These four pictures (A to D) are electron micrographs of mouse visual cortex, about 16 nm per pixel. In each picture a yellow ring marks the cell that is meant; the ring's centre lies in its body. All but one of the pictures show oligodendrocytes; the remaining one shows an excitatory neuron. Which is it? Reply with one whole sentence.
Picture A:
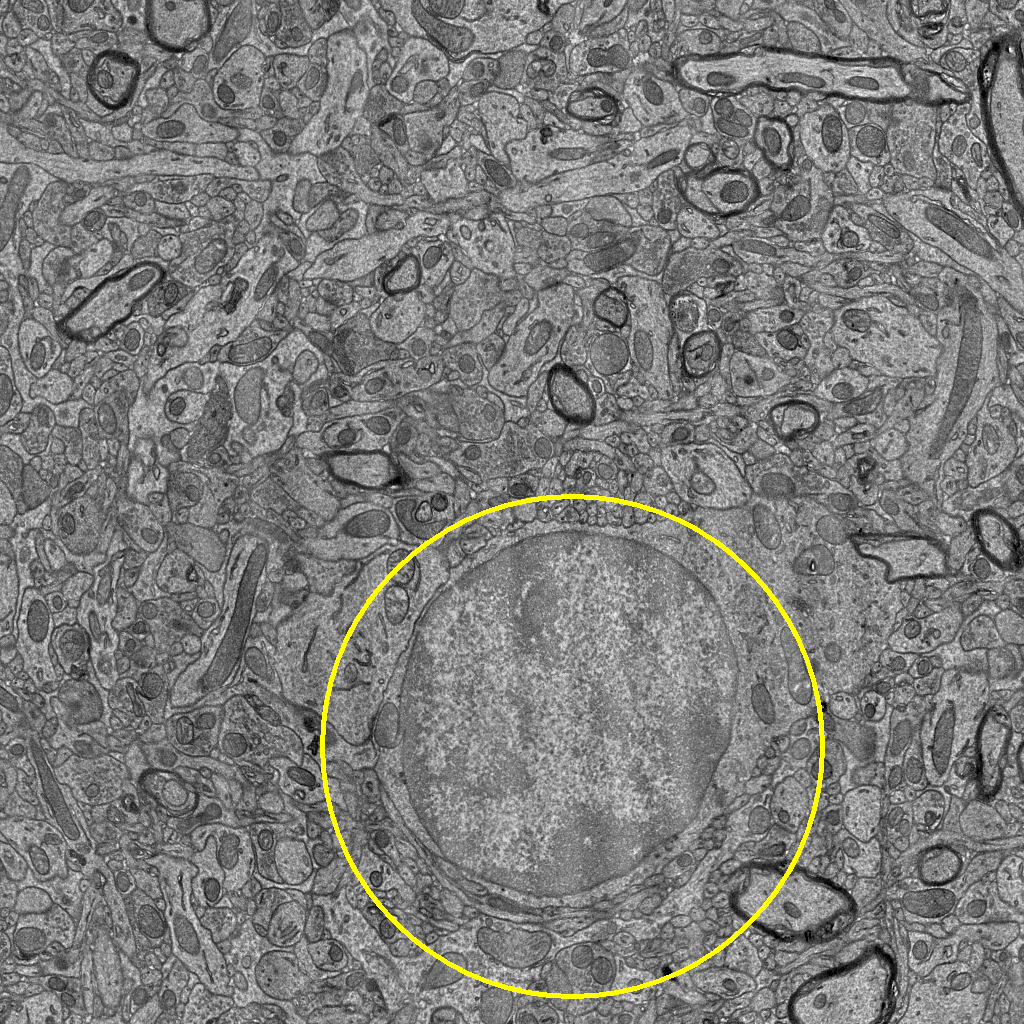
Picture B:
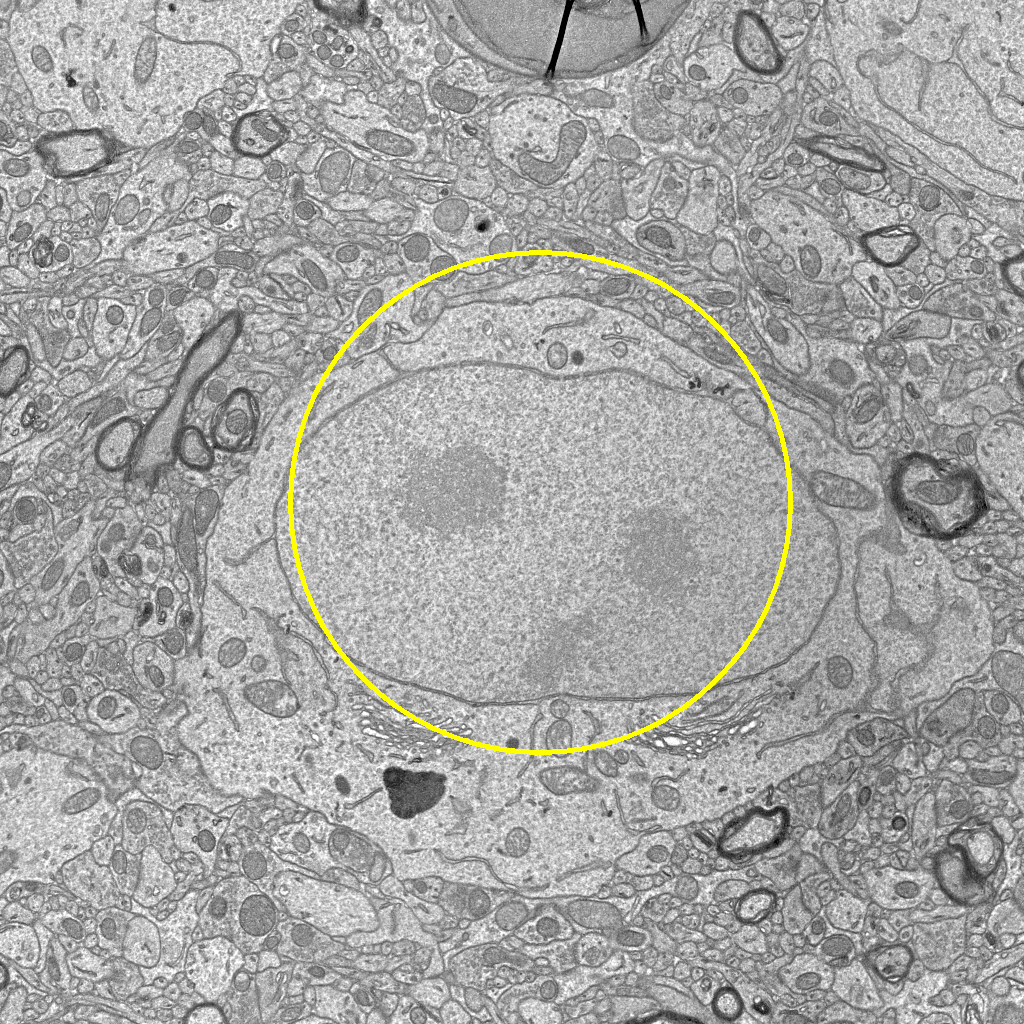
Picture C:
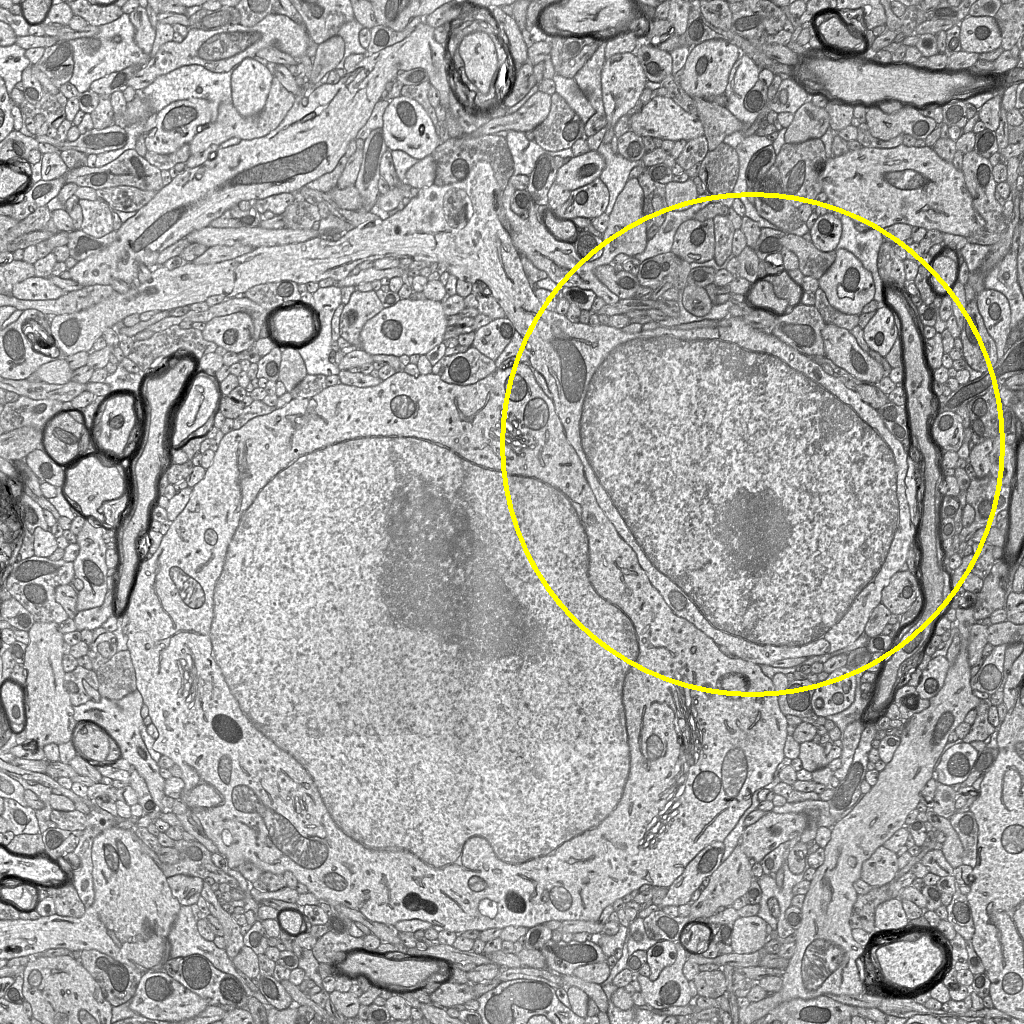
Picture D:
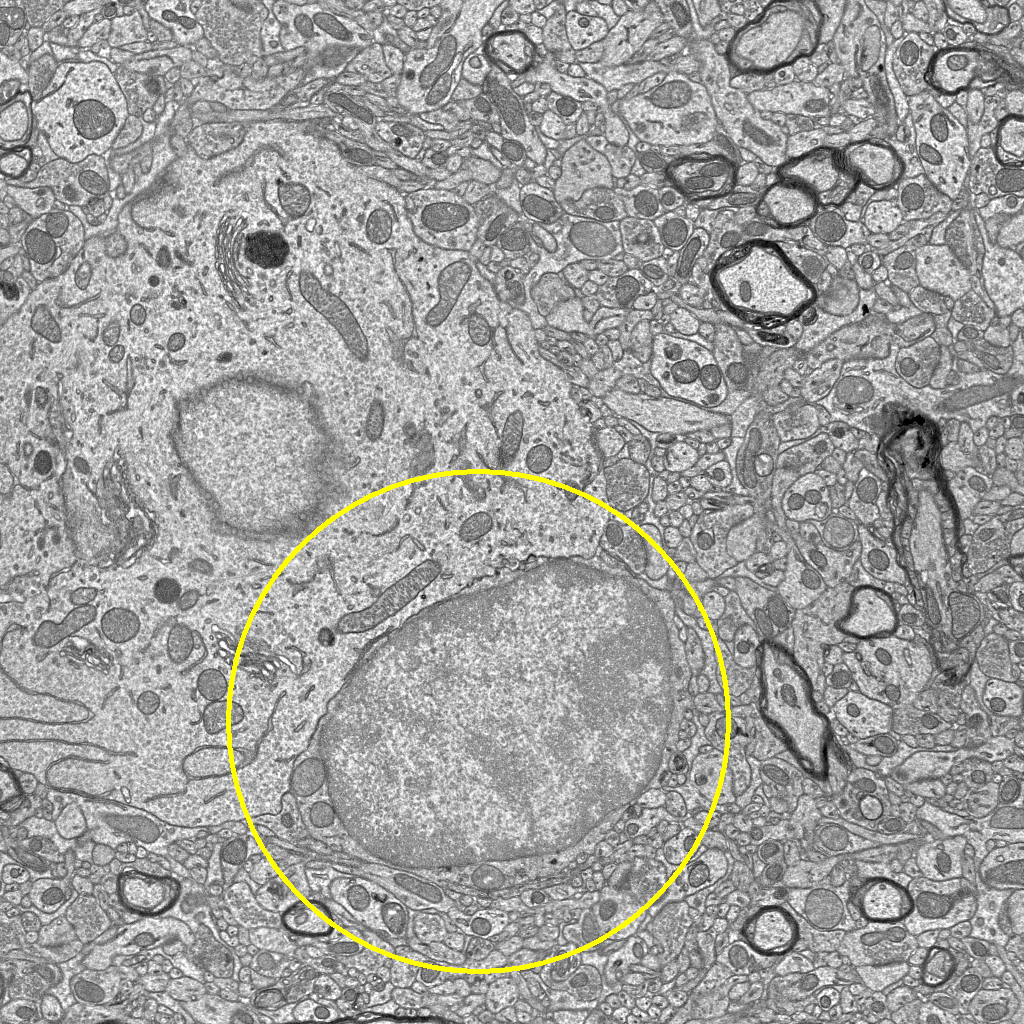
It is picture B that shows the excitatory neuron.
